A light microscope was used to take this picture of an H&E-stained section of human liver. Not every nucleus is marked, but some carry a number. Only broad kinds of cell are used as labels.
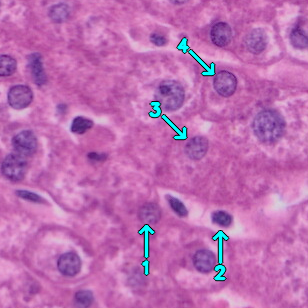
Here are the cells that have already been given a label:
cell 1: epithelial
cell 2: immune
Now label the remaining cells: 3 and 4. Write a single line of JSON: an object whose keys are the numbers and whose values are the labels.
{"3": "epithelial", "4": "epithelial"}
